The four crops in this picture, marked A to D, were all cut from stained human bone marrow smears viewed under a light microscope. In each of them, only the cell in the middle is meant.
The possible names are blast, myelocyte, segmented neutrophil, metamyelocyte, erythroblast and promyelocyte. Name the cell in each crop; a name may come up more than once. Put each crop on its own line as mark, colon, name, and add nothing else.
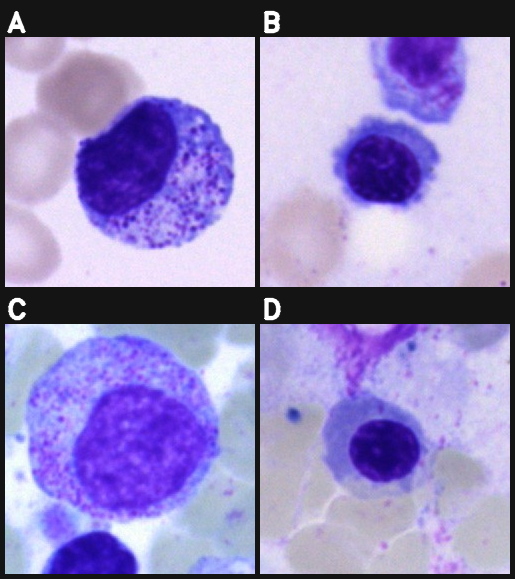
A: myelocyte
B: erythroblast
C: myelocyte
D: erythroblast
